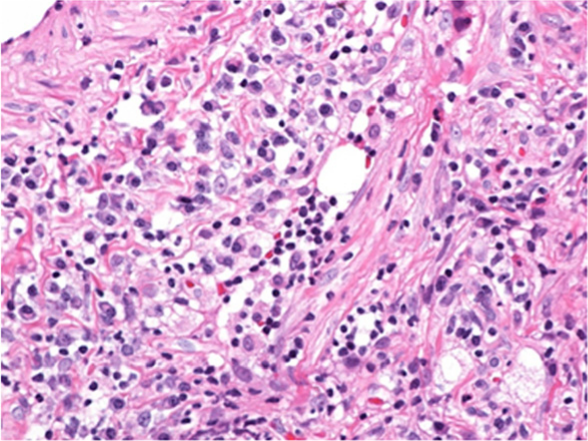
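This is fibrous tissue densely infiltrated by inflammatory cells, mostly plasma cells, macrophages and lymphocytes, set among pink collagen strands. Small lymphocytes with round dark nuclei crowd together with oval plasma cells that have off-centre nuclei and purple-pink cytoplasm. Larger cells with pale, vacuolated cytoplasm are scattered among them, and spindle-shaped fibroblast nuclei lie along the pink fibrous bands.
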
